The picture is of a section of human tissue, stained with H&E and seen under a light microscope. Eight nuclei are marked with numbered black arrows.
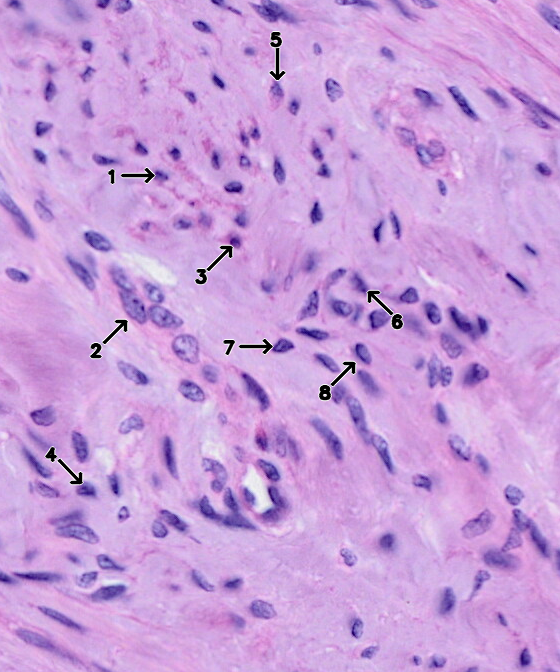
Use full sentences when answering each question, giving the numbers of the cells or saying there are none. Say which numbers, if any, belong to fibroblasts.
Marked by the numbers 4, 6, 7 and 8 are cells that are fibroblasts.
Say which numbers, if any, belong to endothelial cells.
Just one of the numbered cells is an endothelial cell, namely number 2.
